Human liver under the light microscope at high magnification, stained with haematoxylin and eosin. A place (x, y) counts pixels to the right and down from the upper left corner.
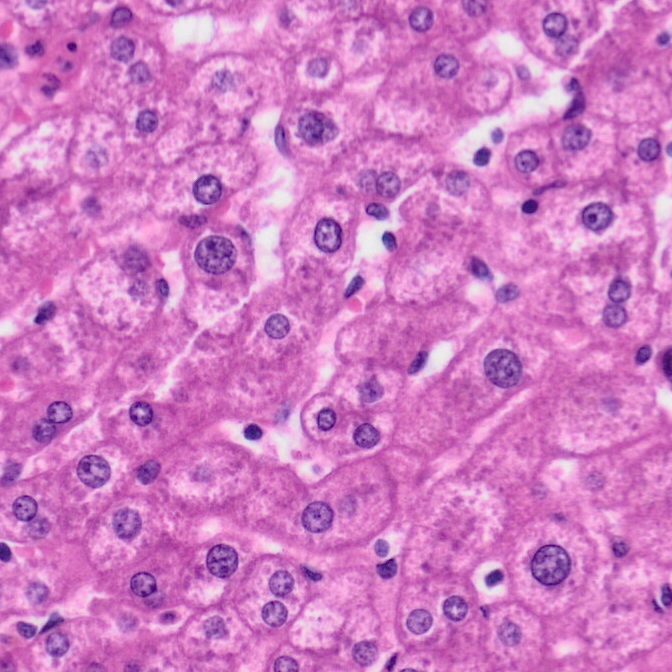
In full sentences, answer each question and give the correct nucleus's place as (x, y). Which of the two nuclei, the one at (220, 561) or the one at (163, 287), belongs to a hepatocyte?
Of the two nuclei, the nucleus of a hepatocyte is at (220, 561).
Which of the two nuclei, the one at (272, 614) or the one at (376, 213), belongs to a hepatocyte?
The nucleus situated at (272, 614) is the one belonging to a hepatocyte.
